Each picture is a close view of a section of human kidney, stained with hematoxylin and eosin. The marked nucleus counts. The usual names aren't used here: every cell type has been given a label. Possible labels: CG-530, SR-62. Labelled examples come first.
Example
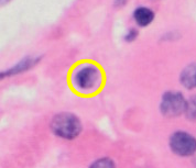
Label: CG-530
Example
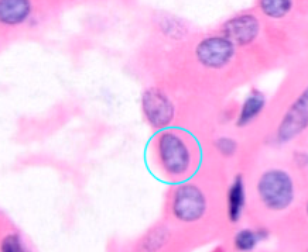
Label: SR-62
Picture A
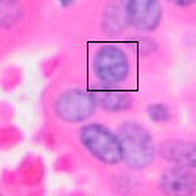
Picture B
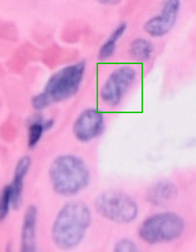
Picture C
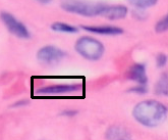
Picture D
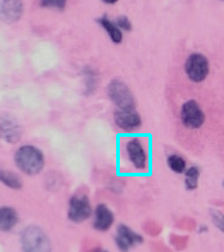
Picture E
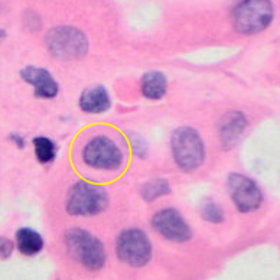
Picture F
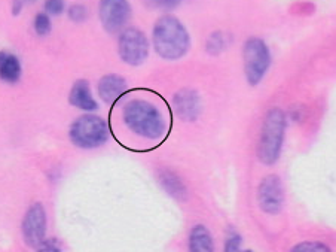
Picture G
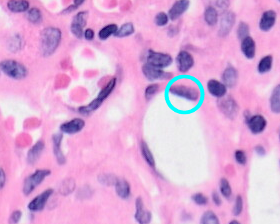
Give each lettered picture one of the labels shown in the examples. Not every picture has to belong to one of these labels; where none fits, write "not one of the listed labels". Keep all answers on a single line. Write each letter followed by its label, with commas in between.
A not one of the listed labels, B not one of the listed labels, C CG-530, D SR-62, E not one of the listed labels, F not one of the listed labels, G CG-530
